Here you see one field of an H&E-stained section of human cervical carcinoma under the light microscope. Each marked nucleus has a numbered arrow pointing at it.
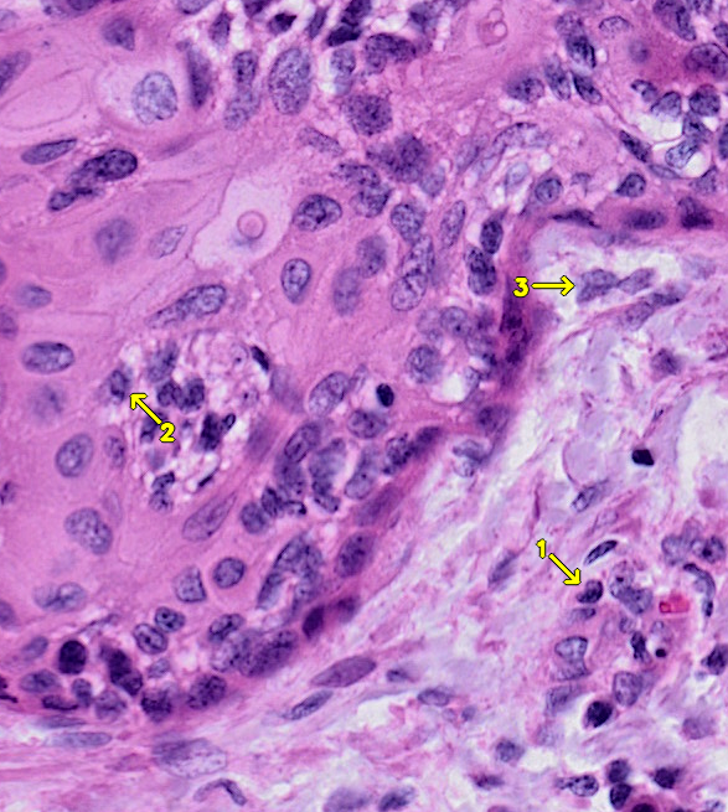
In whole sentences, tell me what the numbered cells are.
Cell 1 is a lymphocyte. Cell 2 is a squamous carcinoma cell. Cell 3 is a fibroblast.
